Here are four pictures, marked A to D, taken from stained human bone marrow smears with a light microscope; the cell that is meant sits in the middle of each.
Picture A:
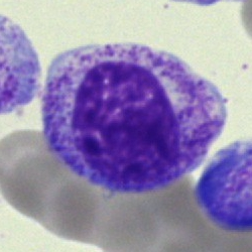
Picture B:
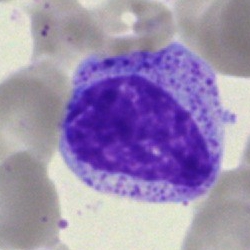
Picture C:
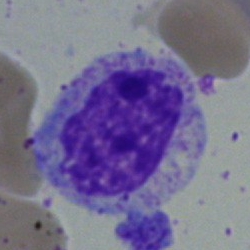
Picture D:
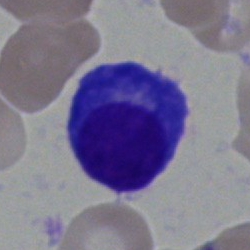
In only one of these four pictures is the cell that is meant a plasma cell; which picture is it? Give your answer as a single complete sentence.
The plasma cell is the one in picture D.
